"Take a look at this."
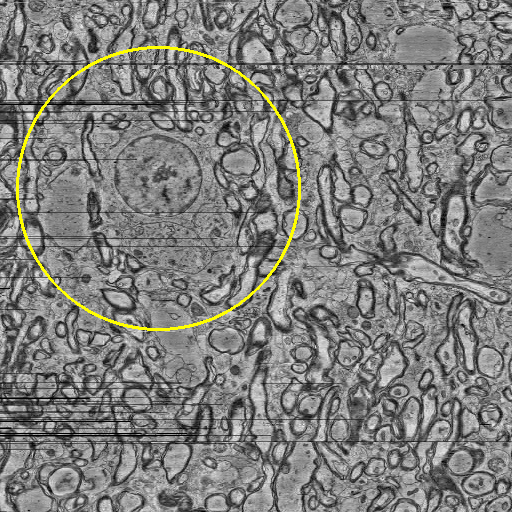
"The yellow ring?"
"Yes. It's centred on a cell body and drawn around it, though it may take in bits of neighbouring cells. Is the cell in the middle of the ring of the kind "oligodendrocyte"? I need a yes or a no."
No, it is of another kind.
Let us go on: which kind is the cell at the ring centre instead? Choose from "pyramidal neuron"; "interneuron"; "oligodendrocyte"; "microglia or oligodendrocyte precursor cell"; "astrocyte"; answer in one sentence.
Sitting at the ring centre is a microglial cell or oligodendrocyte precursor cell.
